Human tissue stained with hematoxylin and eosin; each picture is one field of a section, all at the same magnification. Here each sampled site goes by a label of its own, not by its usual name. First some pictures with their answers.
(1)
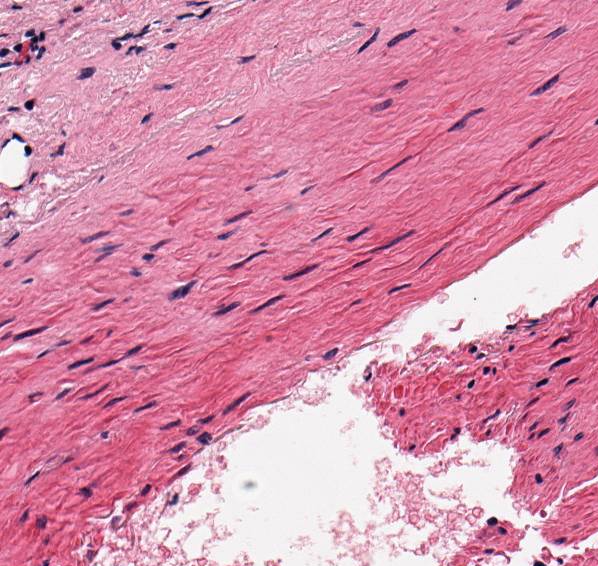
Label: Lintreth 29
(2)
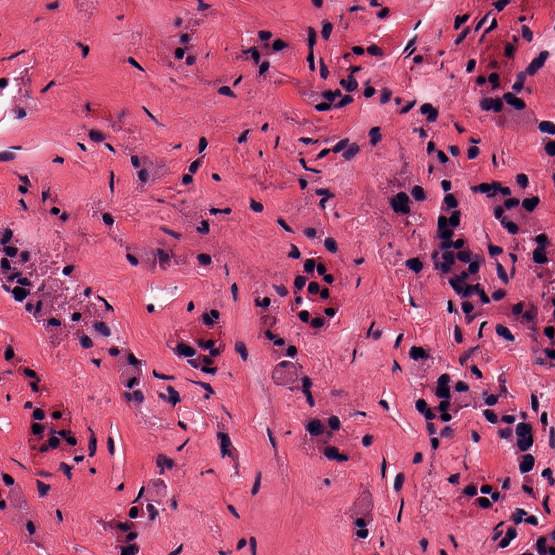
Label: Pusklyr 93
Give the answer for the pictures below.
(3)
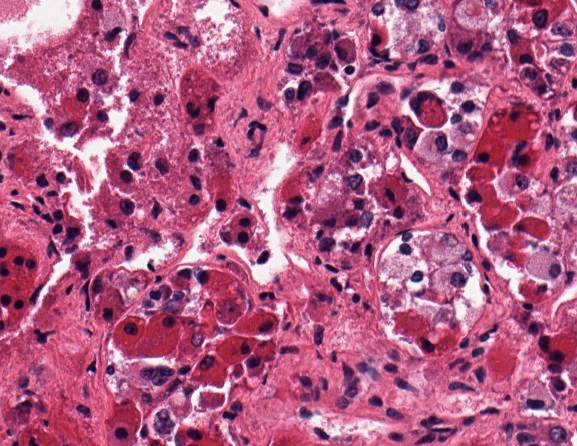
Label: Pusklyr 93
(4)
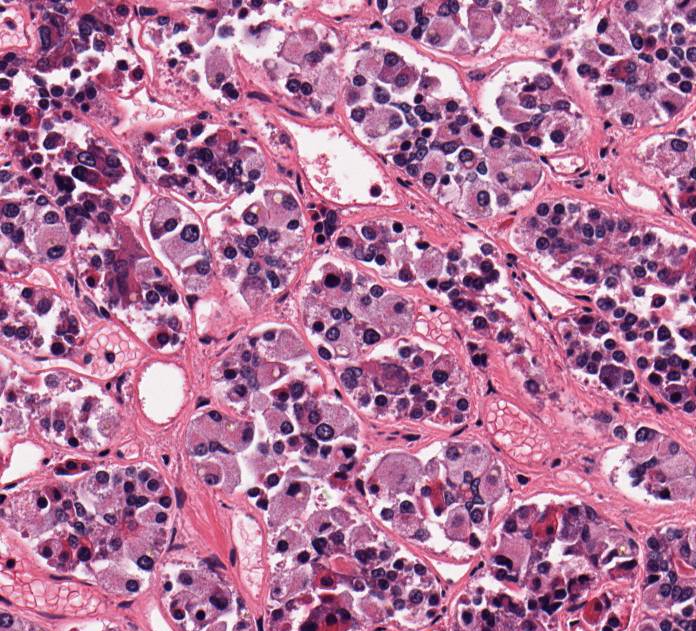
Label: Pusklyr 93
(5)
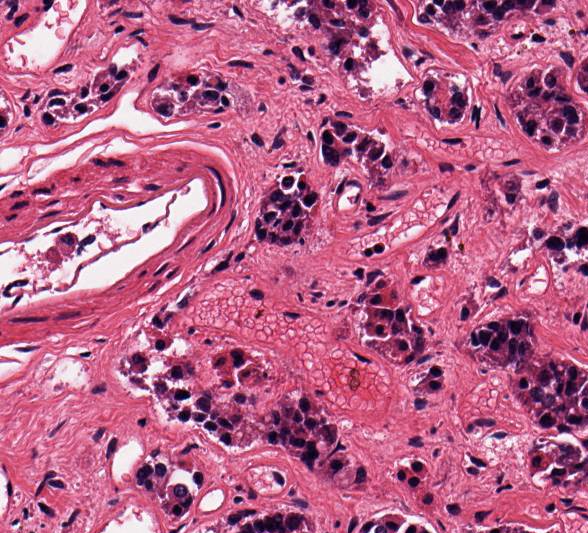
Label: Pusklyr 93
